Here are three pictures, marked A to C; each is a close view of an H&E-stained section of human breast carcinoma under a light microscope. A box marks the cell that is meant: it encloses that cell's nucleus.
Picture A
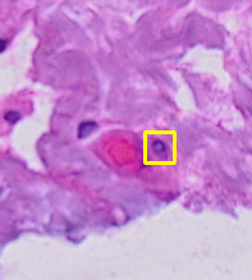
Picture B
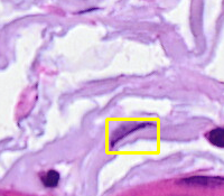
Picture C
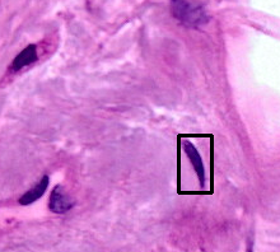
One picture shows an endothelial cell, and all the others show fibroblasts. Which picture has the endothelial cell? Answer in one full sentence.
The cell in picture A is the endothelial cell.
